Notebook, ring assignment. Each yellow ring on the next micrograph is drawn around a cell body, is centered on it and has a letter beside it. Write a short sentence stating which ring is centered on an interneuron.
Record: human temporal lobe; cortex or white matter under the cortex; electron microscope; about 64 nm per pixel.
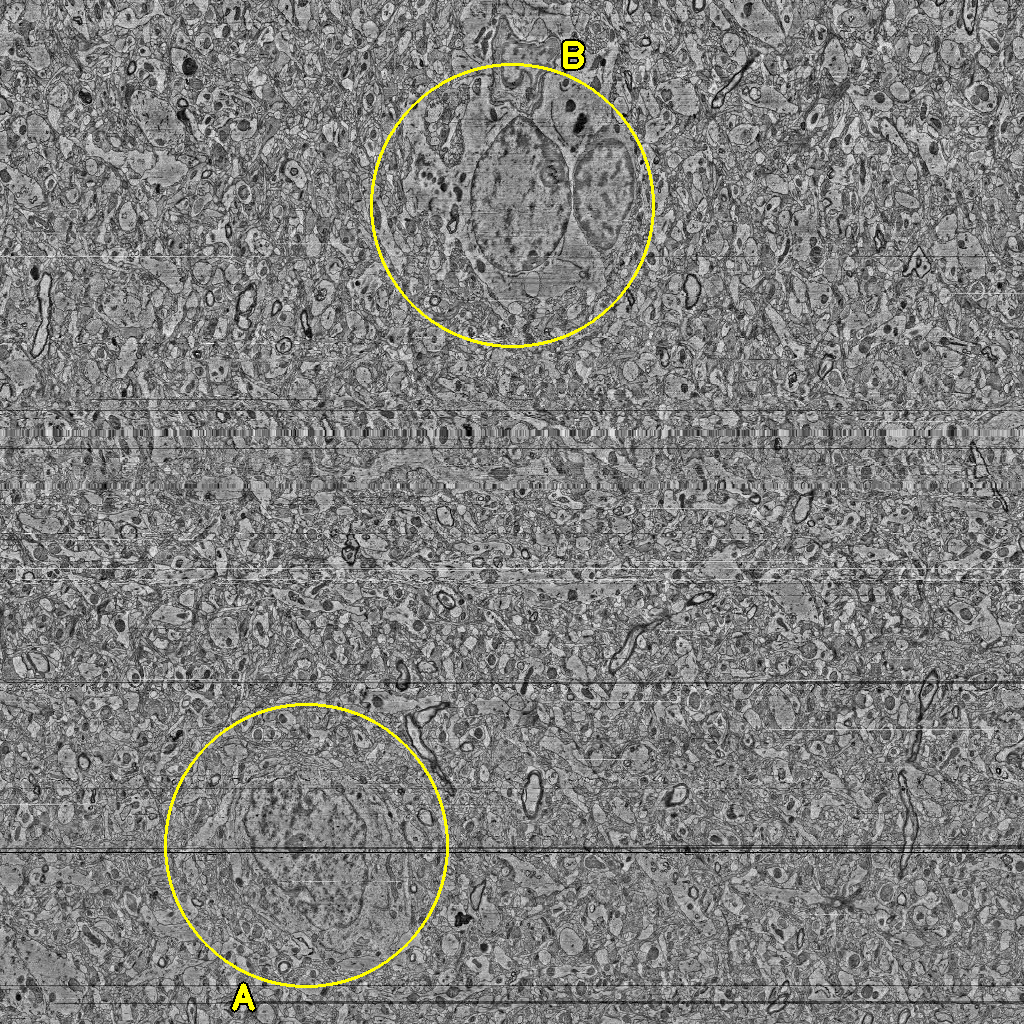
Ring A is centered on it.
